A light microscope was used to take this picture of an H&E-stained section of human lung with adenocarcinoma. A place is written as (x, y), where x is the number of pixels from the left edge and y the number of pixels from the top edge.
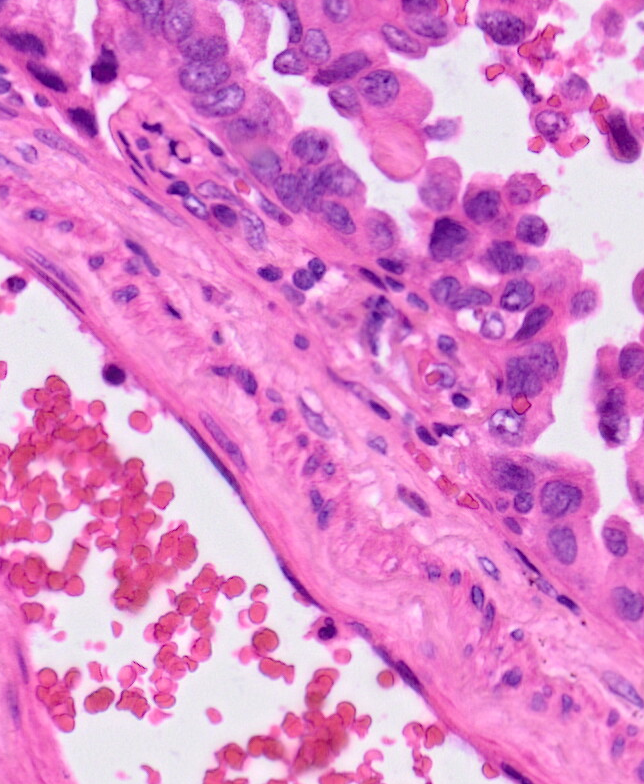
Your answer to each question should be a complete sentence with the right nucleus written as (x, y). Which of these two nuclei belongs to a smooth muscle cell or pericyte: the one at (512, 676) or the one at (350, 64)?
The nucleus that sits at (512, 676) is the nucleus of a smooth muscle cell or pericyte.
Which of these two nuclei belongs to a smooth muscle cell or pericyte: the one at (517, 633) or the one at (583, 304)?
The nucleus belonging to a smooth muscle cell or pericyte is the one at (517, 633).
